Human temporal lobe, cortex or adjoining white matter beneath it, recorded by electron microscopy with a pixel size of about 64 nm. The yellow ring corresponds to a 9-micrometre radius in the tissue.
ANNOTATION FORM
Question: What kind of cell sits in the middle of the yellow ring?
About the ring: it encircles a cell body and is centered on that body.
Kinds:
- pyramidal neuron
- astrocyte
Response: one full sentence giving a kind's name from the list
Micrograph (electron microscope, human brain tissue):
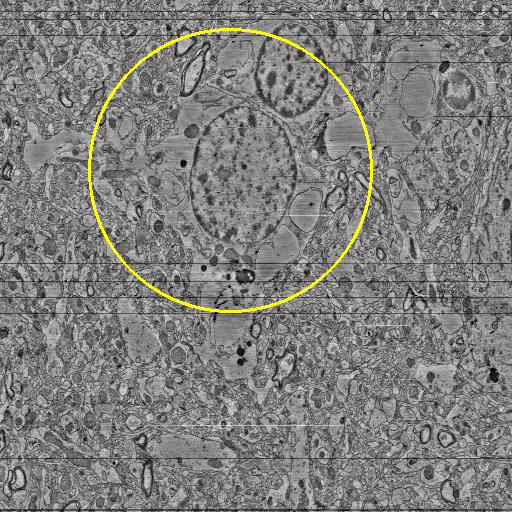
The kind of cell found at the center of the yellow ring in the micrograph is an astrocyte.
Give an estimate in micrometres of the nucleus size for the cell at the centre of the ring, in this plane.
In this plane, roughly 9 by 7 micrometres.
